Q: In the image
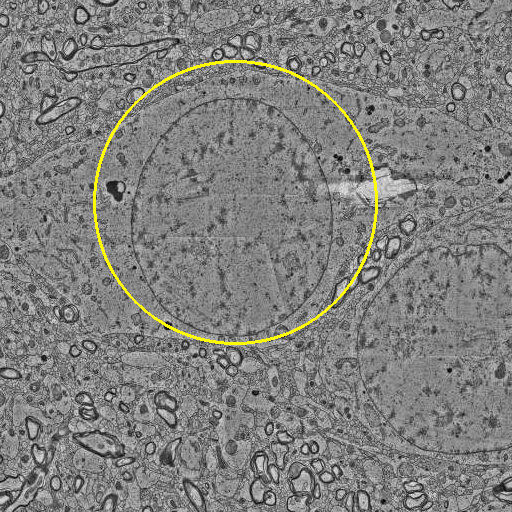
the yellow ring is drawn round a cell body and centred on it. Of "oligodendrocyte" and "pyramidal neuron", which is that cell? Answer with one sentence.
The cell centred in the ring is a pyramidal neuron.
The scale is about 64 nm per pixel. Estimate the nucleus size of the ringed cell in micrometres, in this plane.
The ringed cell's nucleus is about 15 micrometres long and 13 micrometres wide in this plane.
